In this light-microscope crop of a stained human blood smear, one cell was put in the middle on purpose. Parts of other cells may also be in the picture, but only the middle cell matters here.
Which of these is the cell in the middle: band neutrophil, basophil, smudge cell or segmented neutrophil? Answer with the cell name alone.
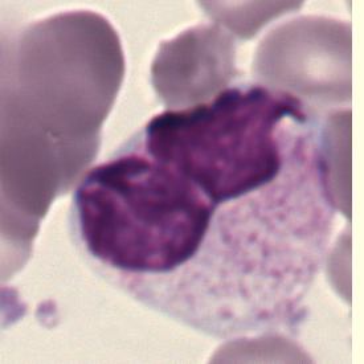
segmented neutrophil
